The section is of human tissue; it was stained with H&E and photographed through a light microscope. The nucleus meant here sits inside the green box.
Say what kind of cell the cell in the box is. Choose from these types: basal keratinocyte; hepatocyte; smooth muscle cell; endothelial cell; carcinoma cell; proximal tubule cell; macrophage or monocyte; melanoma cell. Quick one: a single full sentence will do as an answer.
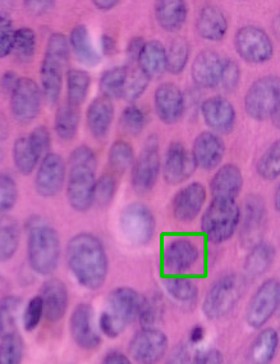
In this tissue section, the cell in the box is to be classed as a basal keratinocyte.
